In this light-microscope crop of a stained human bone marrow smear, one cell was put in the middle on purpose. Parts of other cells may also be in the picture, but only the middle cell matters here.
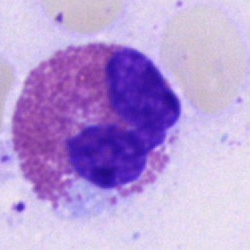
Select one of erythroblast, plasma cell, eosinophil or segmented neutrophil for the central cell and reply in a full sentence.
Seen at the centre of the crop is an eosinophil.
